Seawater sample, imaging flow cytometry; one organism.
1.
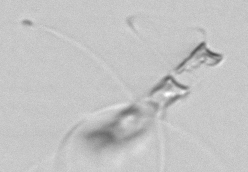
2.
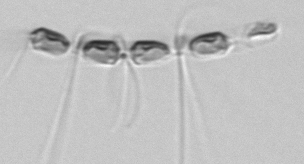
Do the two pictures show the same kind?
Yes, both are Chaetoceros.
